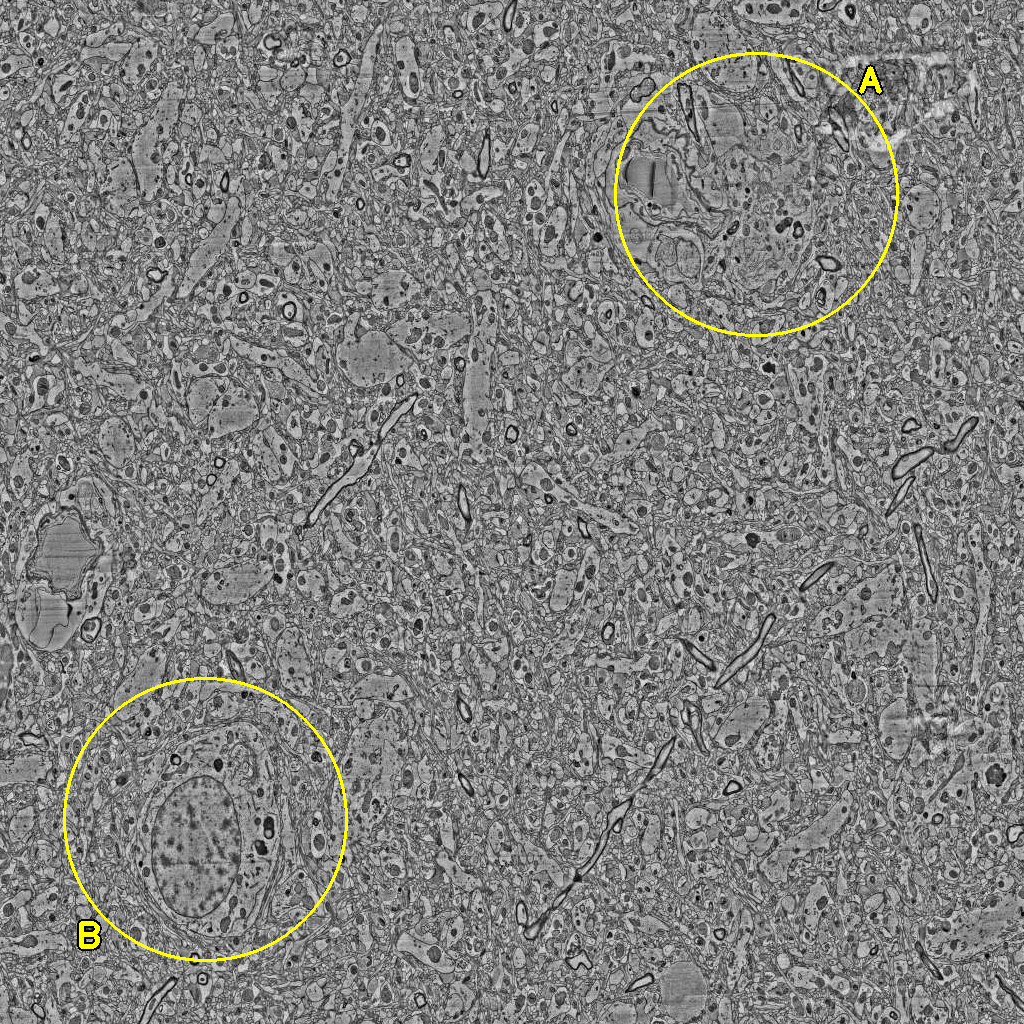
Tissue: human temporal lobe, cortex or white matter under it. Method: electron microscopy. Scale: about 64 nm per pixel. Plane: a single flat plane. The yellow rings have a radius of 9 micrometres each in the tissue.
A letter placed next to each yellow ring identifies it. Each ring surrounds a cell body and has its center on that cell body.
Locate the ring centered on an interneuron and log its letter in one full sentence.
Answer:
Ring A has at its center the cell that the task asks for.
